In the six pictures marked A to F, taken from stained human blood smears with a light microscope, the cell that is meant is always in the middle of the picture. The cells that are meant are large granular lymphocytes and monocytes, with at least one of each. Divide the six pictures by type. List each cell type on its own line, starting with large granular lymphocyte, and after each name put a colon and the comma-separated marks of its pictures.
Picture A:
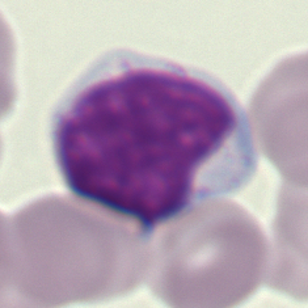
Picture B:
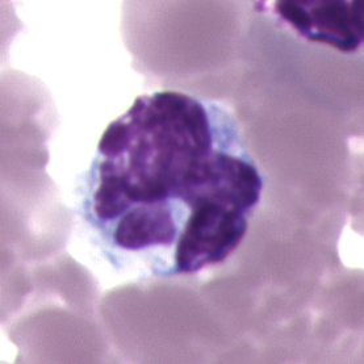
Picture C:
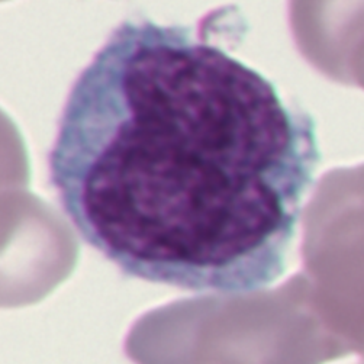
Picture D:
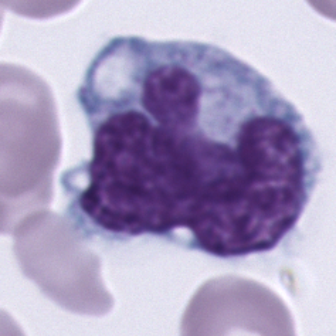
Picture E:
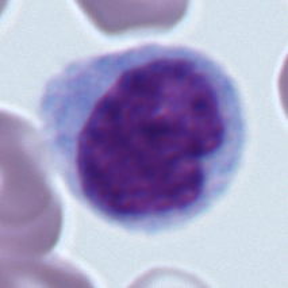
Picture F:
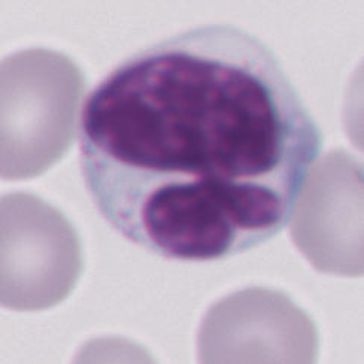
large granular lymphocyte: A, F
monocyte: B, C, D, E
